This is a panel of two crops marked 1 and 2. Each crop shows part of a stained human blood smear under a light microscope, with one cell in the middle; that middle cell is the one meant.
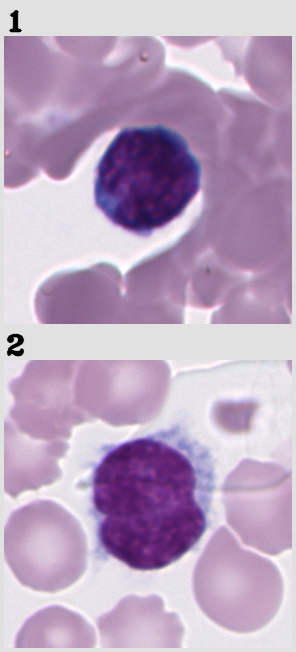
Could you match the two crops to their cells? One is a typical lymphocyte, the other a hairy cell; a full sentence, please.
In crop 1 there is a typical lymphocyte, and in crop 2 there is a hairy cell.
